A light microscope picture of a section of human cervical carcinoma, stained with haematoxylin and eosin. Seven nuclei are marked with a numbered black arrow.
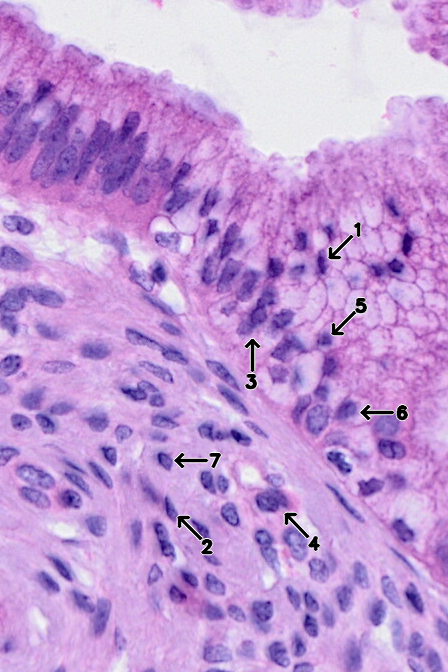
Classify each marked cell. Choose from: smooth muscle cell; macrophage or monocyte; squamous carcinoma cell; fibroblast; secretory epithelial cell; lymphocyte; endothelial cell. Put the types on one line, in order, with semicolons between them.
secretory epithelial cell; fibroblast; secretory epithelial cell; endothelial cell; secretory epithelial cell; secretory epithelial cell; fibroblast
